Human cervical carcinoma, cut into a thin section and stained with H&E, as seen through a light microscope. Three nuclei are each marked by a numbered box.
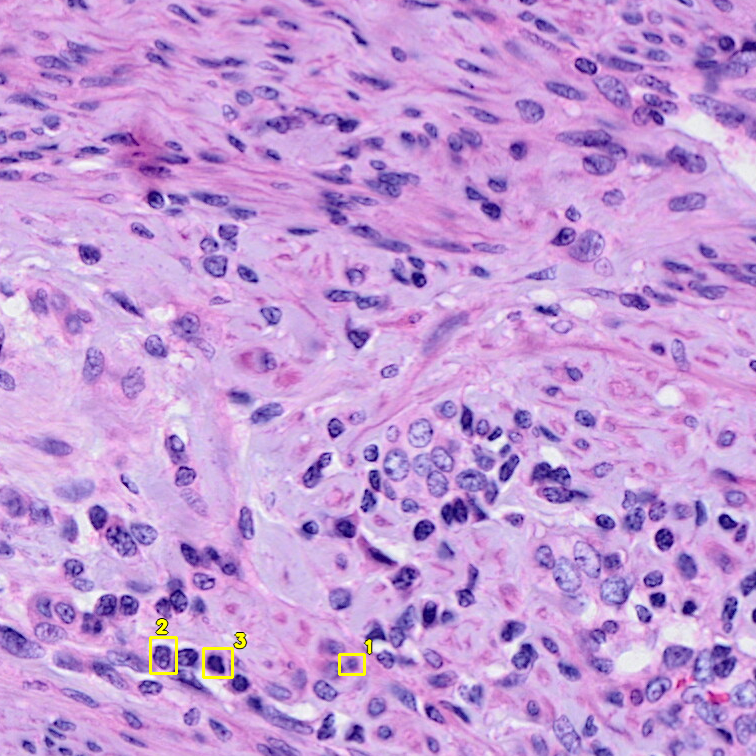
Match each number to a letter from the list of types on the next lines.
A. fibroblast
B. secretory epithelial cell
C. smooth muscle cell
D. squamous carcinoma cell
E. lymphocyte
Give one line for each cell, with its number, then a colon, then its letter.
1: C
2: E
3: E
